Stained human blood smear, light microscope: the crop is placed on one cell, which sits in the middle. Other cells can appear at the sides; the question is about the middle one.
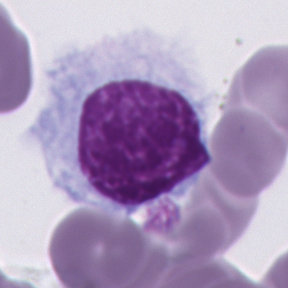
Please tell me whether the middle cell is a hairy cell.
yes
